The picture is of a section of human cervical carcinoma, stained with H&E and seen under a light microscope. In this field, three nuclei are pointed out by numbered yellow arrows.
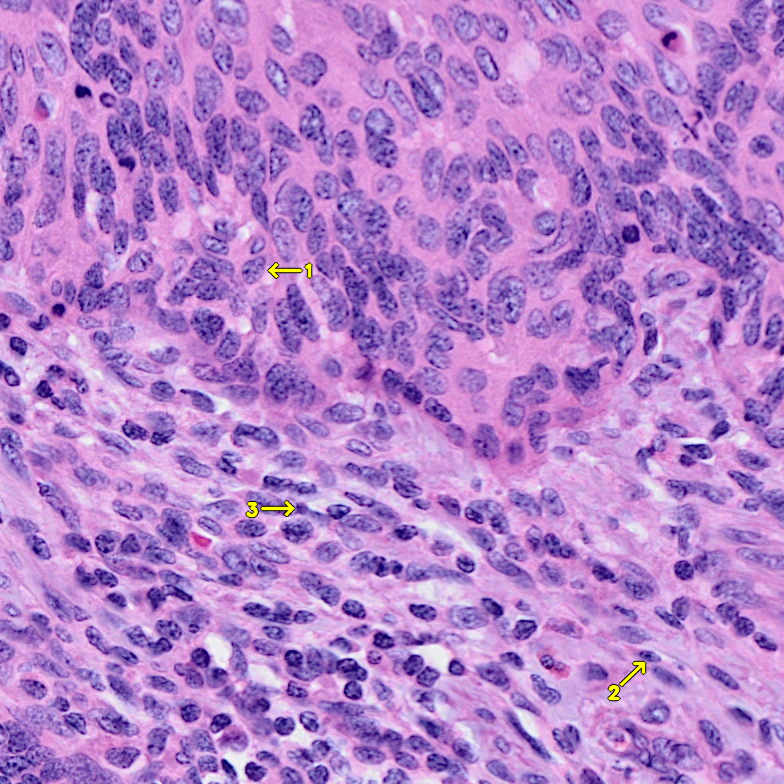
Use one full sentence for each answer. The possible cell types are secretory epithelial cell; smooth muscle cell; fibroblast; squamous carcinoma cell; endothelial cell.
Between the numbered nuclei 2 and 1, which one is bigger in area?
Number 1 is larger; its area is about 2.5 times that of number 2.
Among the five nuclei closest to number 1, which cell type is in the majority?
Most of the five nuclei nearest to number 1 are those of squamous carcinoma cells.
